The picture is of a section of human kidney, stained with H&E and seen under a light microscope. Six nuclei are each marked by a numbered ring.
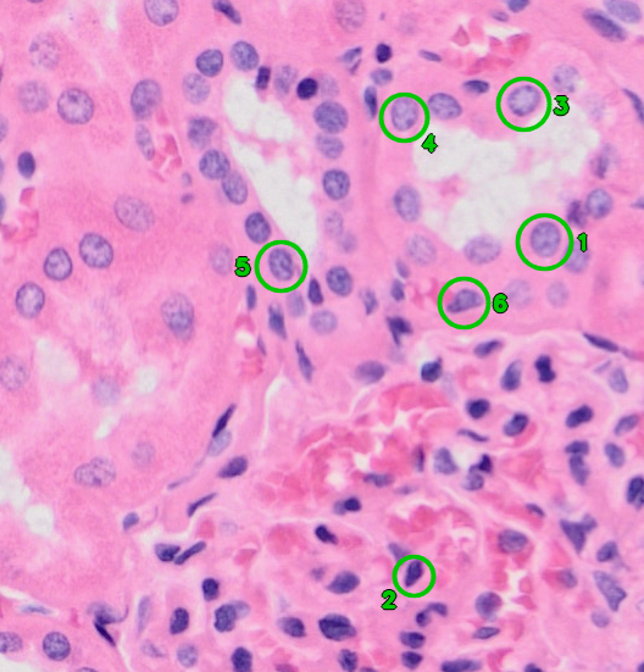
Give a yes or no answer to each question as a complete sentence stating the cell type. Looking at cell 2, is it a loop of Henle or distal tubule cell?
No, the cell carrying number 2 is an endothelial cell rather than a loop of Henle or distal tubule cell.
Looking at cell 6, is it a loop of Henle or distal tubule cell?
No, cell 6 should be classed as an endothelial cell, not as a loop of Henle or distal tubule cell.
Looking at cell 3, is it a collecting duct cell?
No, it is a loop of Henle or distal tubule cell, not a collecting duct cell, that number 3 marks.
